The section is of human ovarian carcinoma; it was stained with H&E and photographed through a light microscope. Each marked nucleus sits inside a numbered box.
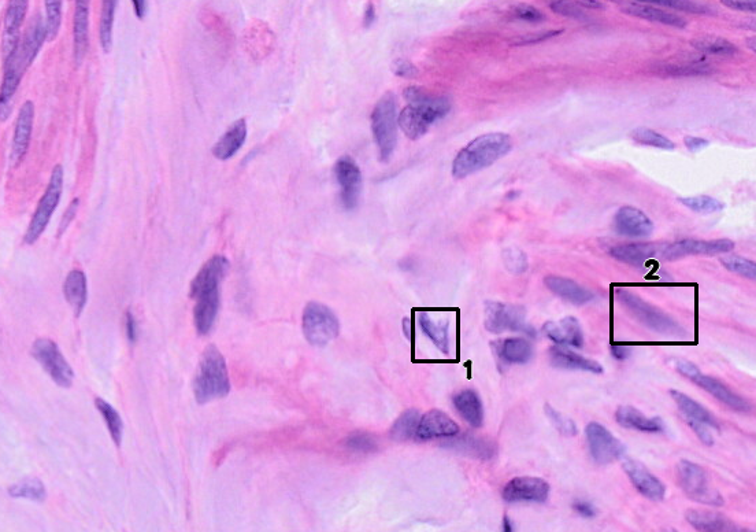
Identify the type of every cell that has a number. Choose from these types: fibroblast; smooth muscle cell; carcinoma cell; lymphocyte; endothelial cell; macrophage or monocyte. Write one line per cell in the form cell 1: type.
cell 1: fibroblast
cell 2: smooth muscle cell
